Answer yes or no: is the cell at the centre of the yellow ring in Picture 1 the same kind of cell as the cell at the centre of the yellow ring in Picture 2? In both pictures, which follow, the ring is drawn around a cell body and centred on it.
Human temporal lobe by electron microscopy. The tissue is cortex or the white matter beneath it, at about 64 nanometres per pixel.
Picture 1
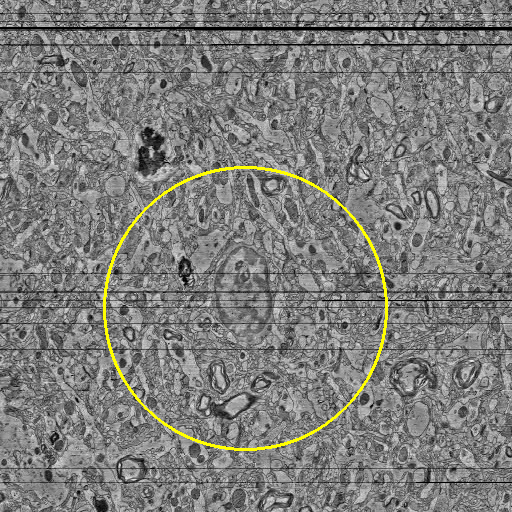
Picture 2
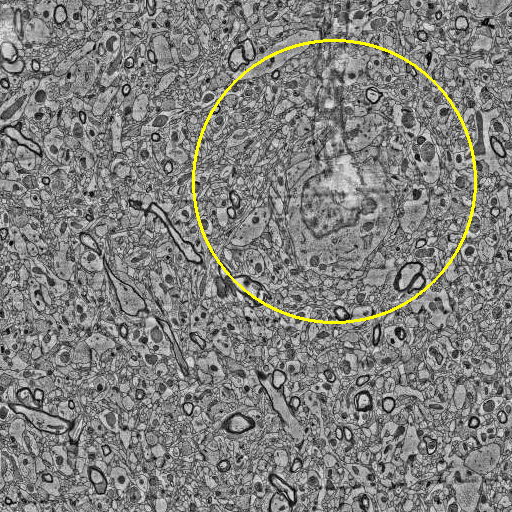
no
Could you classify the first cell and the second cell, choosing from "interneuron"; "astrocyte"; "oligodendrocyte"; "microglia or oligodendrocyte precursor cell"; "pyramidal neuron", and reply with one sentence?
The second cell is an interneuron, while the first is an oligodendrocyte.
